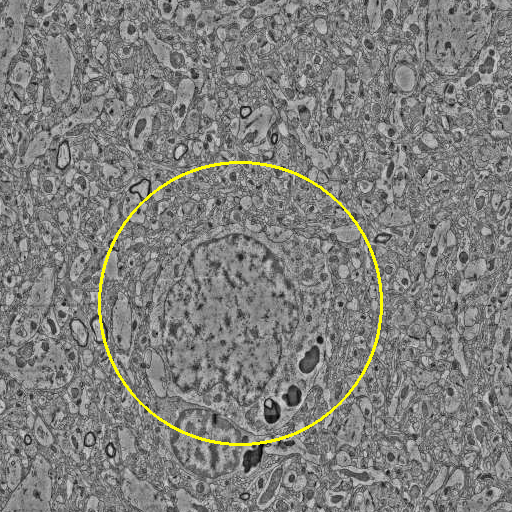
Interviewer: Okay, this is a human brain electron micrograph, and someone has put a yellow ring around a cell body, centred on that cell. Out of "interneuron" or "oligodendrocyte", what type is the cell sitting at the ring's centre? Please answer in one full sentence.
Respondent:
The cell at the centre of the yellow ring in this picture is an interneuron.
